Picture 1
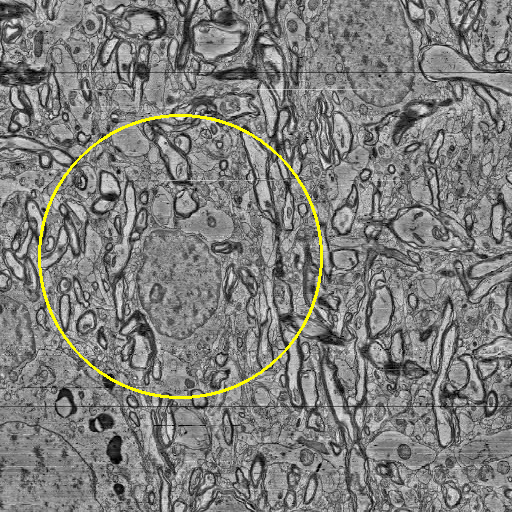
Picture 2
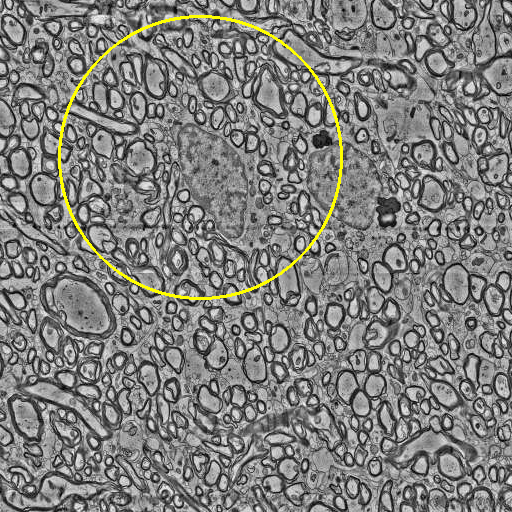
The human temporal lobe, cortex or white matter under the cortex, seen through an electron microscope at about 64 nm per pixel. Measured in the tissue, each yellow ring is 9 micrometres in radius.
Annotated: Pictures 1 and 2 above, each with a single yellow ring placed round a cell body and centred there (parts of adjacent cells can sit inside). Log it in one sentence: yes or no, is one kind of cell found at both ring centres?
Yes, the ring centres of the two pictures hold cells of one kind.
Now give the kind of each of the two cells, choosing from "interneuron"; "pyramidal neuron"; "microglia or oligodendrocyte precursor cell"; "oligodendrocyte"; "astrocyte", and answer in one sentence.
Both rings mark an oligodendrocyte, one in each picture.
